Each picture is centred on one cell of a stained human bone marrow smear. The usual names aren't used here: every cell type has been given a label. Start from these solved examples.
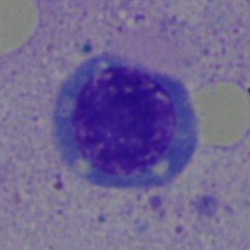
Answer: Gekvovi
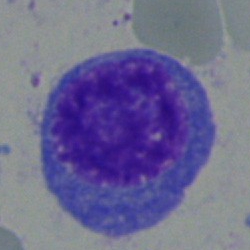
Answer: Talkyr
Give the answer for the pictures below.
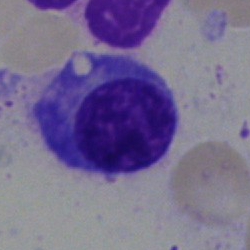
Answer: Talkyr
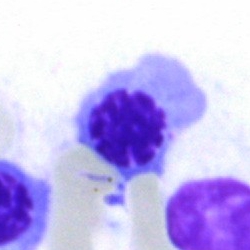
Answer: Gekvovi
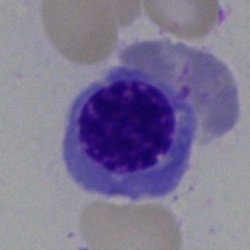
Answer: Gekvovi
